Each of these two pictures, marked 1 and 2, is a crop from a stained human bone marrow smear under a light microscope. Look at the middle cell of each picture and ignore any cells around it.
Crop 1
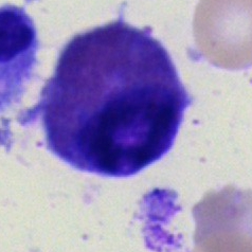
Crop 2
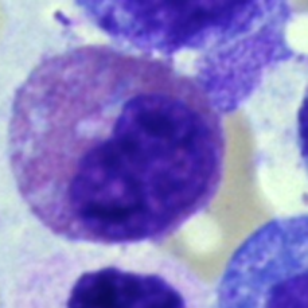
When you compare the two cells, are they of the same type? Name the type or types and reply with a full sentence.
Yes, the cells under consideration in both crops are eosinophils.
